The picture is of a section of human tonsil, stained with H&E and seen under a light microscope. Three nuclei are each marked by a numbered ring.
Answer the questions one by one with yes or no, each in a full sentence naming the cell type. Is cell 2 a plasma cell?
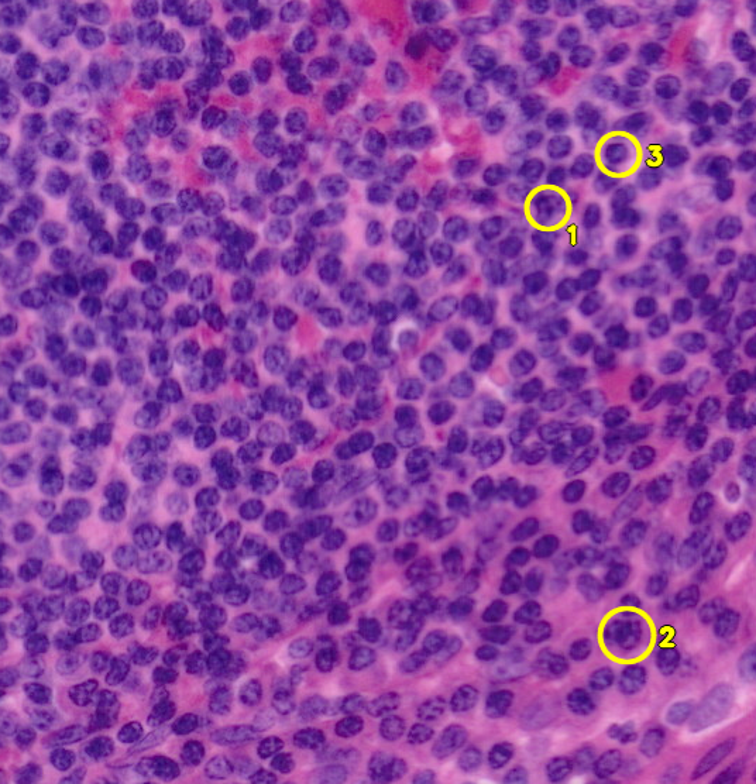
Yes, looking at number 2, that cell is a plasma cell.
